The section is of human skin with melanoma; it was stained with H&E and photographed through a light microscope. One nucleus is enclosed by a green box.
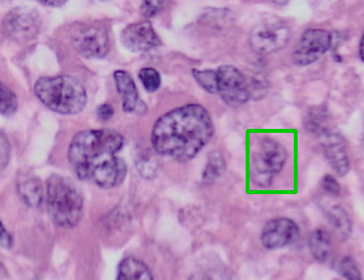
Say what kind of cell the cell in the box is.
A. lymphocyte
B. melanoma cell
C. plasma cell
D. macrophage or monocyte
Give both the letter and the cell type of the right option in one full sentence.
According to option B, the cell in the box is a melanoma cell, and this is correct.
